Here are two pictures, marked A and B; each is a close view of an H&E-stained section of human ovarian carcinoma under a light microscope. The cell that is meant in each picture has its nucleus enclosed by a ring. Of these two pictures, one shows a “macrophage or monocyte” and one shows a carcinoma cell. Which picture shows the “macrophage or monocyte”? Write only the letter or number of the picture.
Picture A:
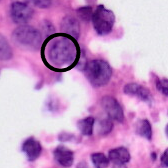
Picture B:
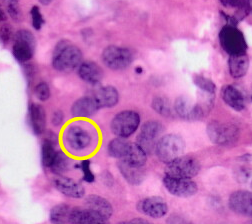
B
